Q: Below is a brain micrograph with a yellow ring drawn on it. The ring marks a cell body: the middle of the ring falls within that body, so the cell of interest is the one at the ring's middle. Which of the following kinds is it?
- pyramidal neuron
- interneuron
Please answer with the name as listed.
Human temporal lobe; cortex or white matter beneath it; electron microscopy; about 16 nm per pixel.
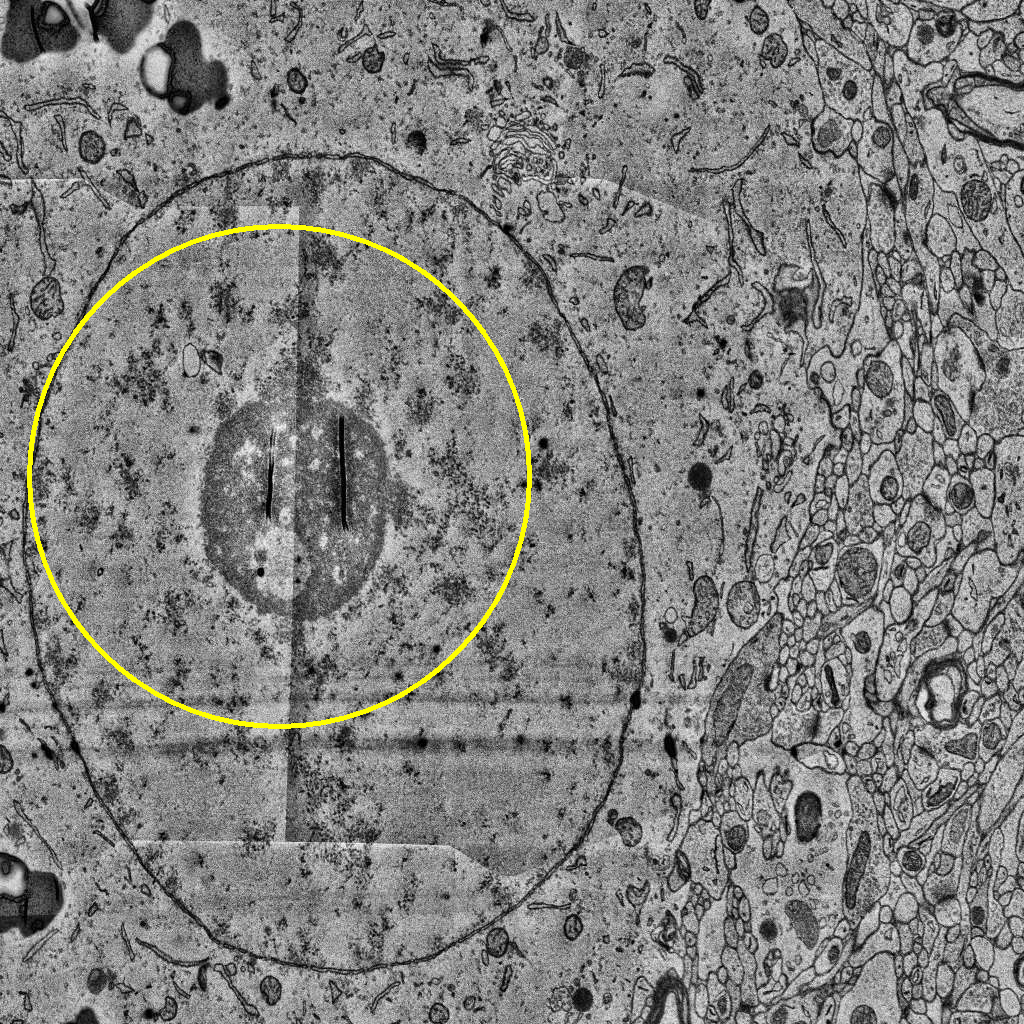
pyramidal neuron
